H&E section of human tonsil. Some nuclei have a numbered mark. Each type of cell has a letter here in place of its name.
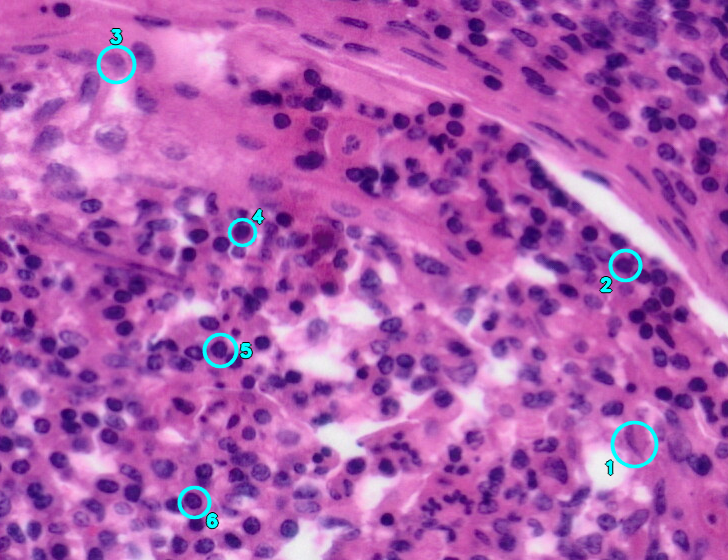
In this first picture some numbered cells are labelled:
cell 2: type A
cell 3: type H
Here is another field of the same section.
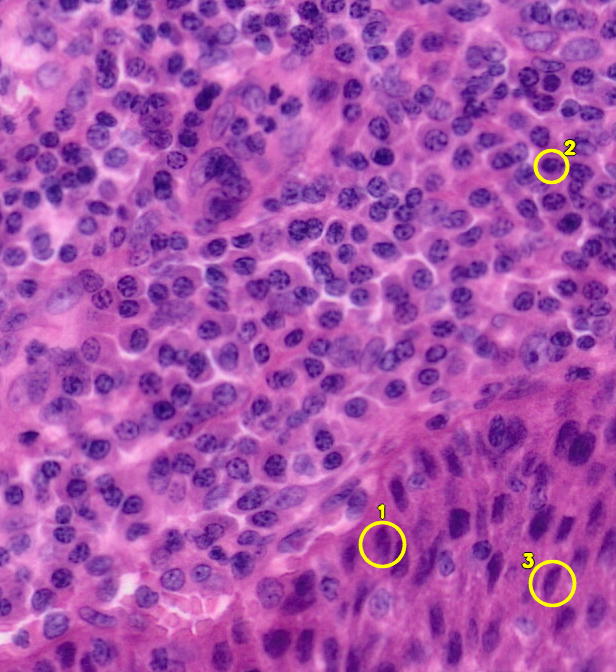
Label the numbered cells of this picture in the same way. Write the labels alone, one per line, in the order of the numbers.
type H
type A
type H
